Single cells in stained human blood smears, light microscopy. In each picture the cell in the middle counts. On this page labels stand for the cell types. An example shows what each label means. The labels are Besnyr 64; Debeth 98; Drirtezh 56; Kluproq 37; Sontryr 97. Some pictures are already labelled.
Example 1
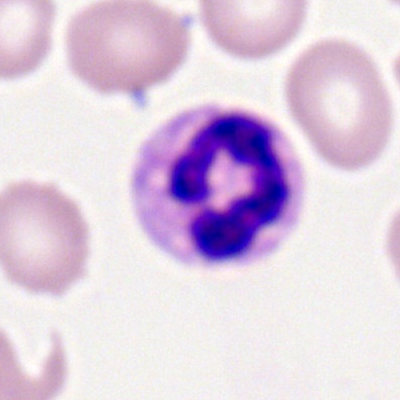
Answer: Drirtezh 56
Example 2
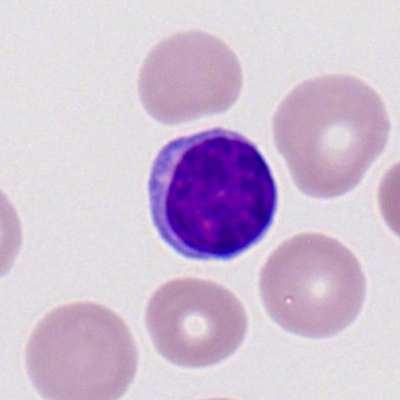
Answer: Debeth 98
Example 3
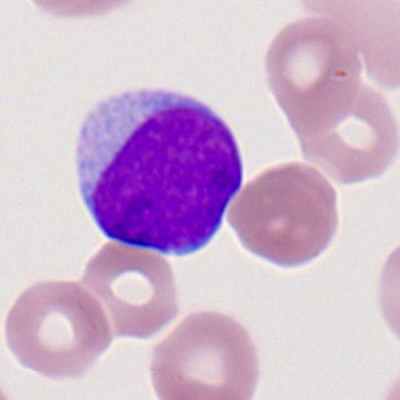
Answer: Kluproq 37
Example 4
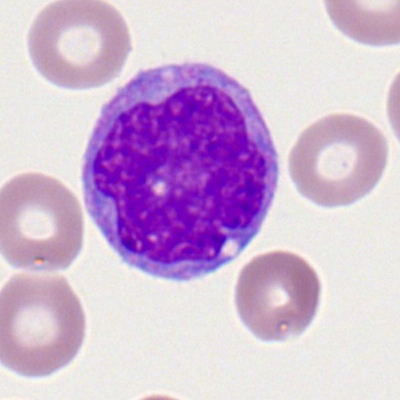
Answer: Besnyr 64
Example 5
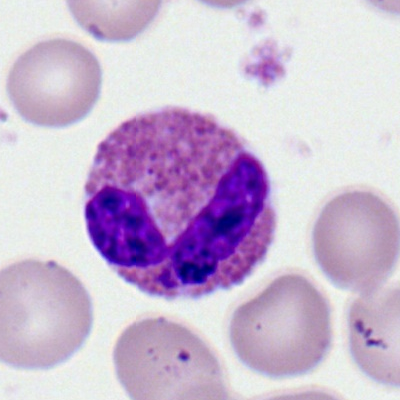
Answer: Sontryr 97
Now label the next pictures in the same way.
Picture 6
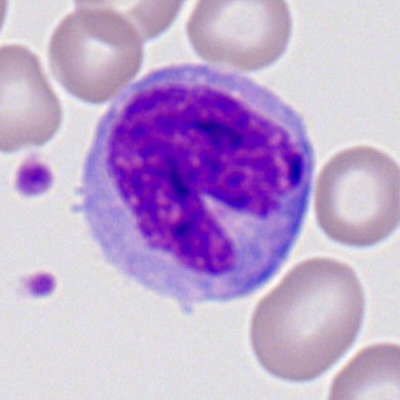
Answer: Besnyr 64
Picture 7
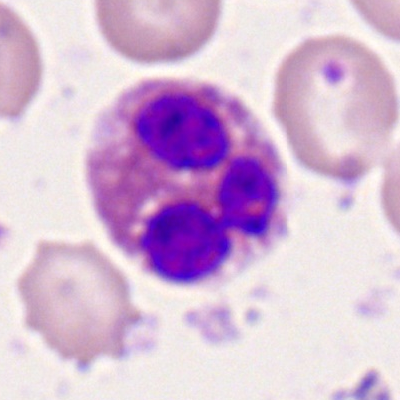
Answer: Sontryr 97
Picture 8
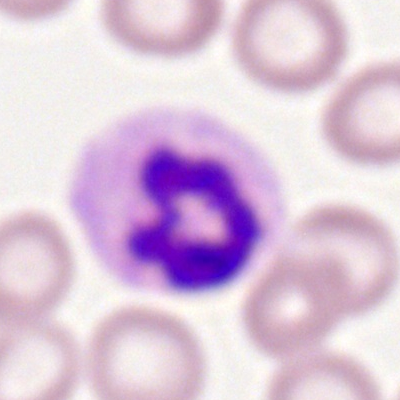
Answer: Drirtezh 56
